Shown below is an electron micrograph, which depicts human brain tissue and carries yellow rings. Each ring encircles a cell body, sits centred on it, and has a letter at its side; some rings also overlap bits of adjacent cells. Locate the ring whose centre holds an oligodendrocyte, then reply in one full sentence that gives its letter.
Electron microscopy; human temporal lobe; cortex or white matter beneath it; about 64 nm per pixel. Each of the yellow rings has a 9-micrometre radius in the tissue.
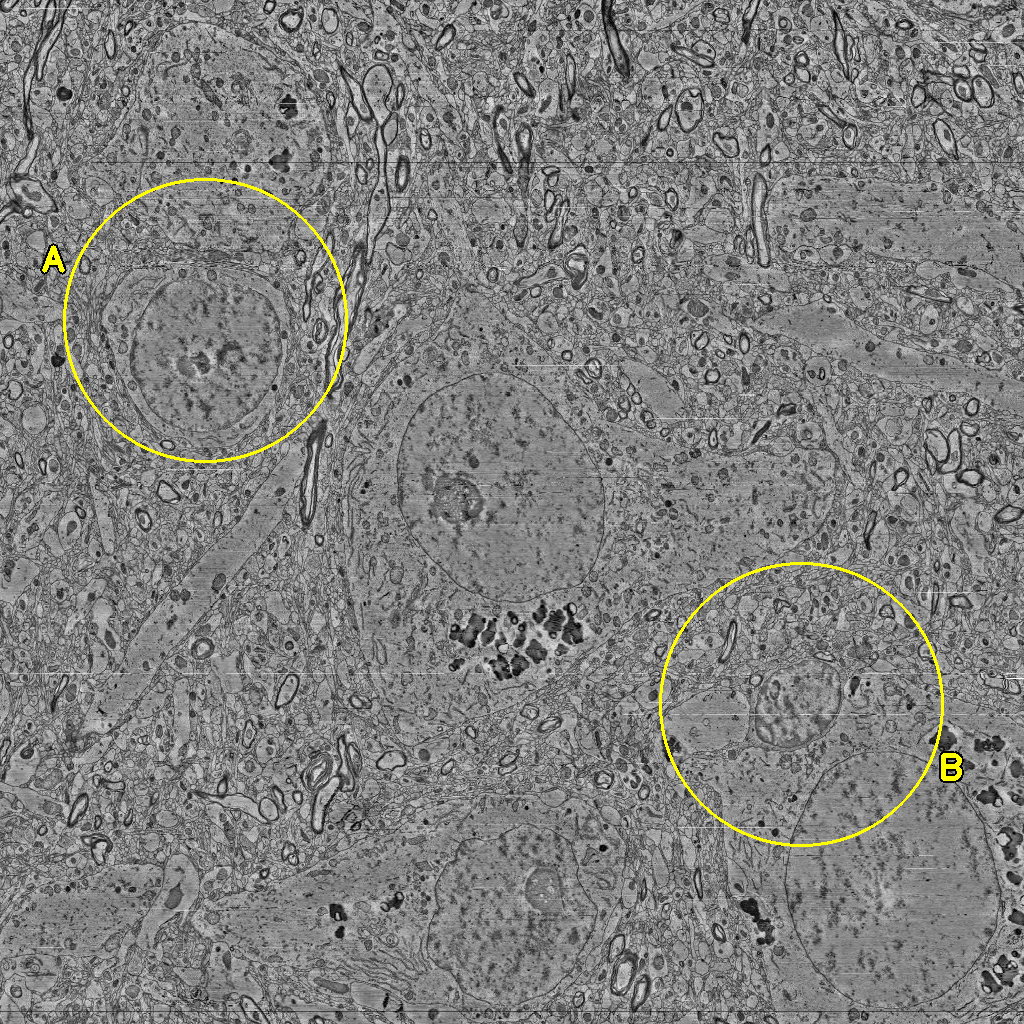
The ring centred on the cell asked for is the one marked B.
